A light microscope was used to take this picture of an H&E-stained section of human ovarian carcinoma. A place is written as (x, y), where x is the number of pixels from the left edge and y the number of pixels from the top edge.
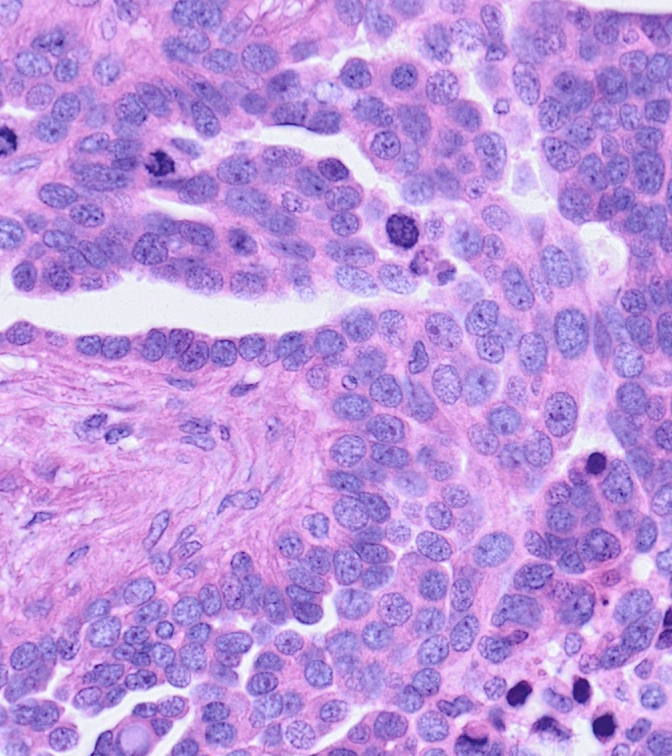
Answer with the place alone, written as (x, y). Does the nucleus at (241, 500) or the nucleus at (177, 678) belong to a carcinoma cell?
(177, 678)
